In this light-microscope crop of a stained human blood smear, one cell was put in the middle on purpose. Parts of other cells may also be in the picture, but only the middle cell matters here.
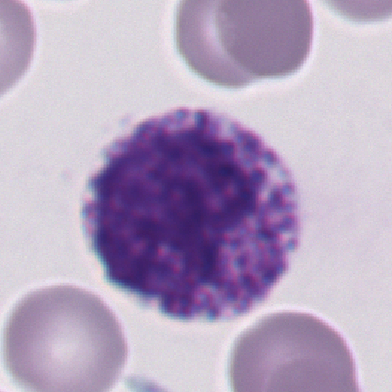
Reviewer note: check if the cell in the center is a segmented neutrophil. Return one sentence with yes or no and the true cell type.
No, what the centre of the crop shows is a basophil, not a segmented neutrophil.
